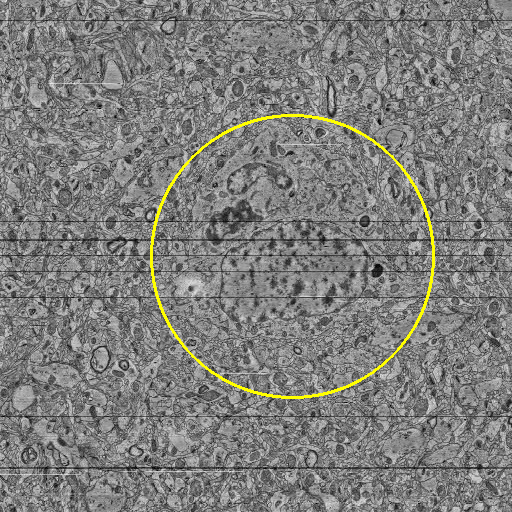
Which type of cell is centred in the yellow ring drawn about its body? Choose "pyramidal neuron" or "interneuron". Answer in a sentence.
The yellow ring surrounds the cell body of an interneuron.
